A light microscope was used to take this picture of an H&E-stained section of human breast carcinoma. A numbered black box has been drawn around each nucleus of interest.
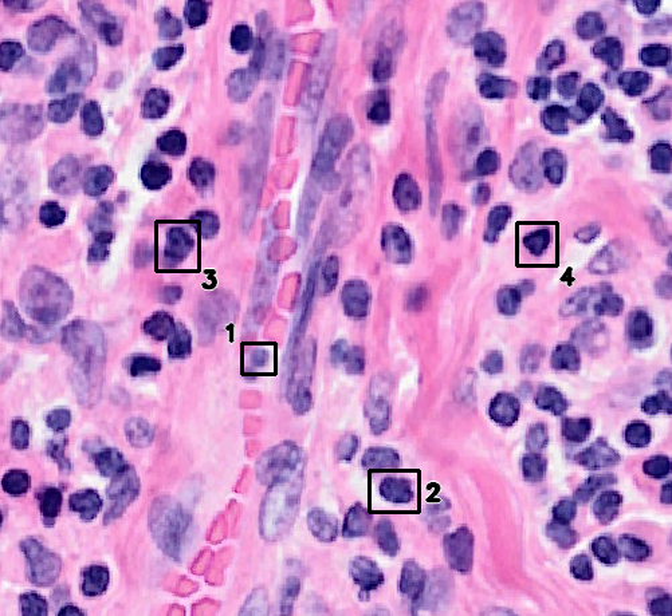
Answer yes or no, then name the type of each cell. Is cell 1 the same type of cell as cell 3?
No, cell 1 is an endothelial cell, while a lymphocyte is what cell 3 is.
